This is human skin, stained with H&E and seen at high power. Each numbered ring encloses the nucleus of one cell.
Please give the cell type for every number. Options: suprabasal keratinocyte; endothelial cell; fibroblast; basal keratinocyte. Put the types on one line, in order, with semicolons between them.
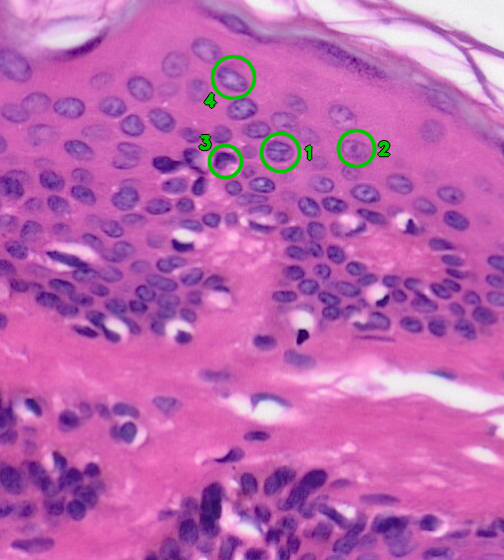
suprabasal keratinocyte; suprabasal keratinocyte; basal keratinocyte; suprabasal keratinocyte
